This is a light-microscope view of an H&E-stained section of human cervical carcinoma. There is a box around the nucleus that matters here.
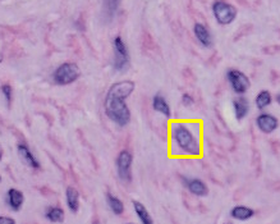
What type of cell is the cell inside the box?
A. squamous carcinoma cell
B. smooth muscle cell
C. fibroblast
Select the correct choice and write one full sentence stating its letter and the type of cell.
The right pick is option B; the cell inside the box is a smooth muscle cell.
